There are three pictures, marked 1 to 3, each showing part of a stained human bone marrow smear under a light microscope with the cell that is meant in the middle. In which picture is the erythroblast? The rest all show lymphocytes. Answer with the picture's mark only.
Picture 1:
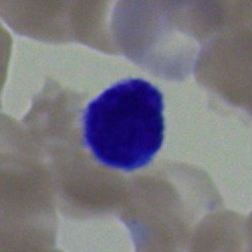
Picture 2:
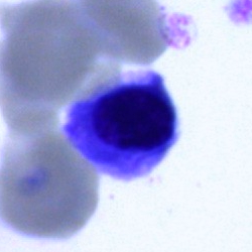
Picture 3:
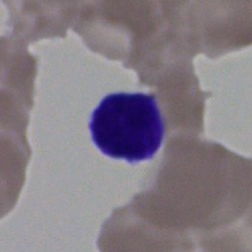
2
